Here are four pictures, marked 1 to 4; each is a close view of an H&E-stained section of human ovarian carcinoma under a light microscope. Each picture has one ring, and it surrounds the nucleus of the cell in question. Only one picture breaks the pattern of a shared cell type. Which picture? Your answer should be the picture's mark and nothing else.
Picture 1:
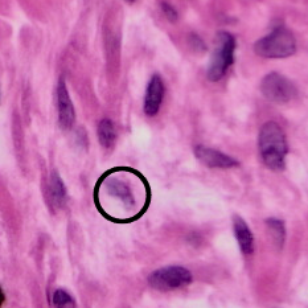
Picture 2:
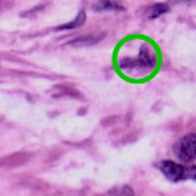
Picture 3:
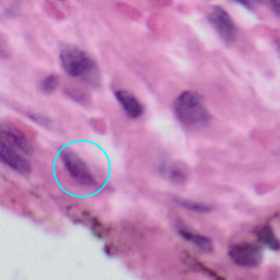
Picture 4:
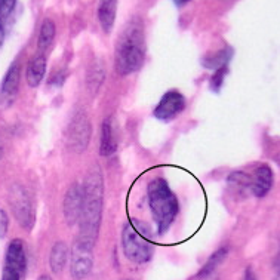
4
